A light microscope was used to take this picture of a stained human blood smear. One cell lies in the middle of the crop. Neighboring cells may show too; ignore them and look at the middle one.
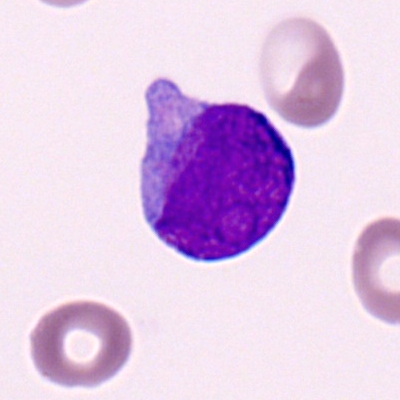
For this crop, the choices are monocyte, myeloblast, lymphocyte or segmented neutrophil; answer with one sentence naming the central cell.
The middle position in this crop is taken by a myeloblast.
